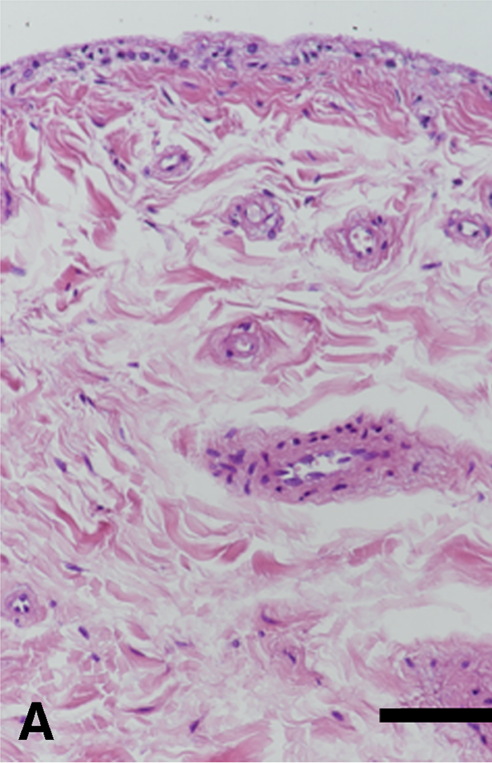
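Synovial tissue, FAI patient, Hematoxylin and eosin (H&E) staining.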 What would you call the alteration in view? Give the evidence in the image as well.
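Small vessels are each wrapped in thick concentric rings of pink collagen. Few cells lie within the collagen away from the vessels. The answer: focal/perivascular fibrosis.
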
